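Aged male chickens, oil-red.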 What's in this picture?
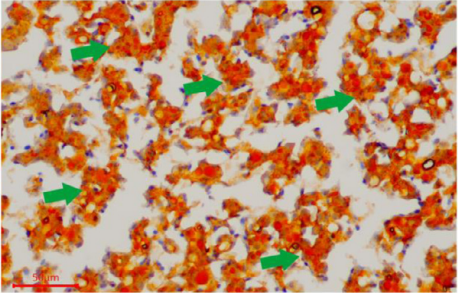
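Liver section with hepatocyte cords stained orange to deep red, separated by wide pale spaces. The cytoplasm is packed with red to orange round droplets of varying size, some larger droplets appearing as pale rings. Small blue nuclei are visible along the edges of the cords. The staining is dense throughout most cords in the field.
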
